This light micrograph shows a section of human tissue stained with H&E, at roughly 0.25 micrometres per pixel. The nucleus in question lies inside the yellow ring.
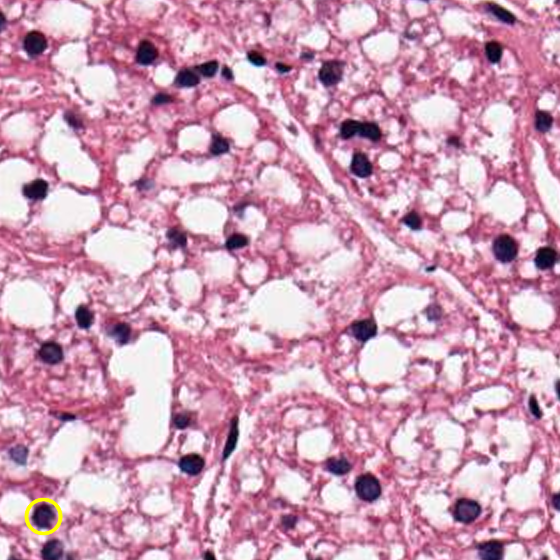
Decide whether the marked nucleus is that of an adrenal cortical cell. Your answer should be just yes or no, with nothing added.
yes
